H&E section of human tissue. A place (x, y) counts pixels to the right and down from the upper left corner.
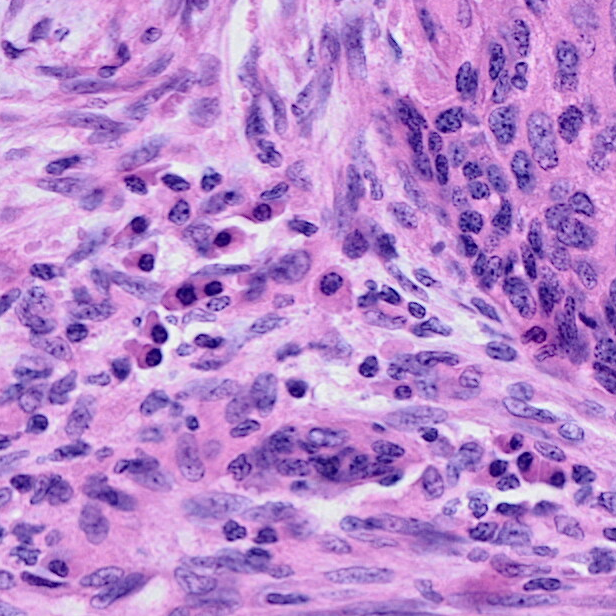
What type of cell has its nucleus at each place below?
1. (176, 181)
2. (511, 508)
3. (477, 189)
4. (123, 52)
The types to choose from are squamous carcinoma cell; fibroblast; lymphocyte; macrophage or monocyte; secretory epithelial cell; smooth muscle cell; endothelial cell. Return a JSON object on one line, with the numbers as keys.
{"1": "lymphocyte", "2": "lymphocyte", "3": "squamous carcinoma cell", "4": "lymphocyte"}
